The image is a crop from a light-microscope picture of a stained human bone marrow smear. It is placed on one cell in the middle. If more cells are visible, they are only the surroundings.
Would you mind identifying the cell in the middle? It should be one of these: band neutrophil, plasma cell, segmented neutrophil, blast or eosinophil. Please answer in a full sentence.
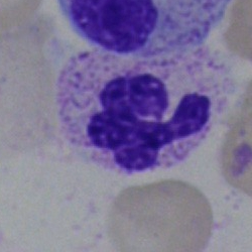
Among the cells in view, the one in the middle is a segmented neutrophil.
